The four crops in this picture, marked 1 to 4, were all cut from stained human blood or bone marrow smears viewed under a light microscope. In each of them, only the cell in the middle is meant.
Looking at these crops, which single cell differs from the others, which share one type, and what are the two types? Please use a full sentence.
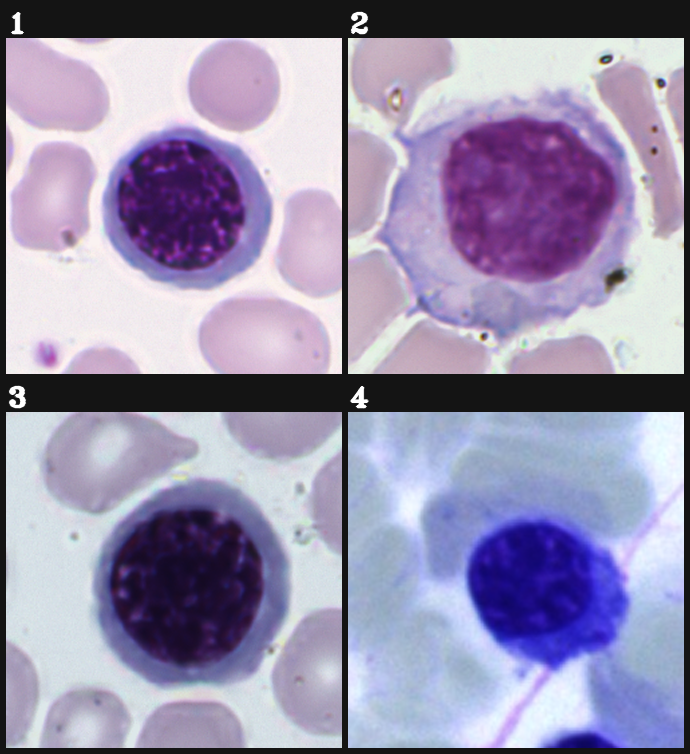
Crop 2 alone is a plasma cell, and the other crops are all erythroblasts.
